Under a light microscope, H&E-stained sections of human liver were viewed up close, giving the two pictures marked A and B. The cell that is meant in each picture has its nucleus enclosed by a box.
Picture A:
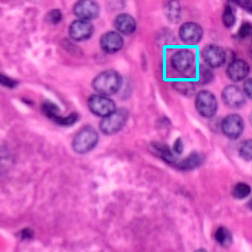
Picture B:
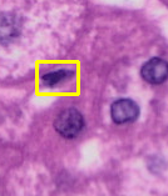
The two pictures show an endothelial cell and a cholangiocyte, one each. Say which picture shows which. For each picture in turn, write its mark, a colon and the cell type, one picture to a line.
A: cholangiocyte
B: endothelial cell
